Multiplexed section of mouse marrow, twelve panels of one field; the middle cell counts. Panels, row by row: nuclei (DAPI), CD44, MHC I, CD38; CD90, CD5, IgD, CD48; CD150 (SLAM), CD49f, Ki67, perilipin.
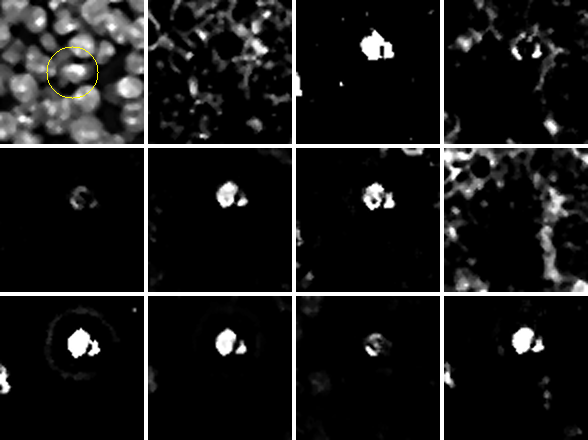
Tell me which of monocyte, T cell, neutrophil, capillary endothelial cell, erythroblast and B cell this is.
The picture shows a neutrophil.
